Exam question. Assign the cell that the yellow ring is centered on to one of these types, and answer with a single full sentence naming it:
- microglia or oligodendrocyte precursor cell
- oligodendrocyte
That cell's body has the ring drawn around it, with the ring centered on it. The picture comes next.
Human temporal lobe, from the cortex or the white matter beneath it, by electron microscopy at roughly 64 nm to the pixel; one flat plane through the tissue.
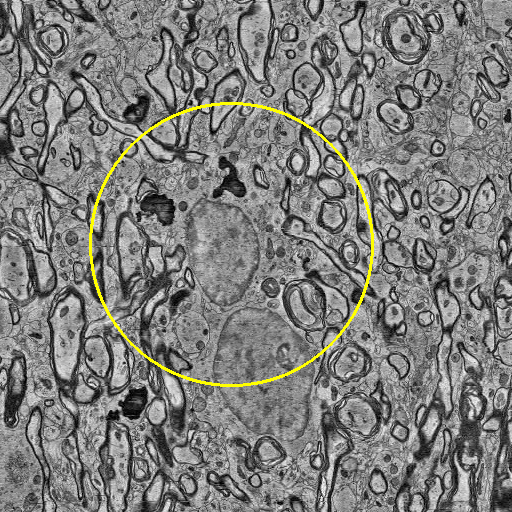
In the micrograph, the cell the yellow ring is centered on is an oligodendrocyte.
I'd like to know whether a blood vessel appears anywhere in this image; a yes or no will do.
No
